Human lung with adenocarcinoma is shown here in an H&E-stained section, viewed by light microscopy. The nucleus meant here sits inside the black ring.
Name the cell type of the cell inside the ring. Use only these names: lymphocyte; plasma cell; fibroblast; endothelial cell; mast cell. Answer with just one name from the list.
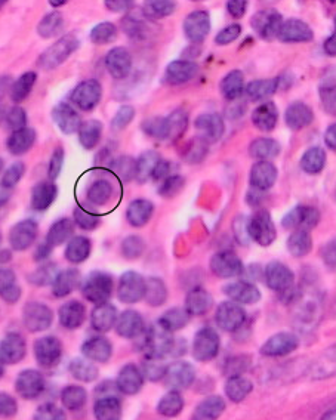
lymphocyte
